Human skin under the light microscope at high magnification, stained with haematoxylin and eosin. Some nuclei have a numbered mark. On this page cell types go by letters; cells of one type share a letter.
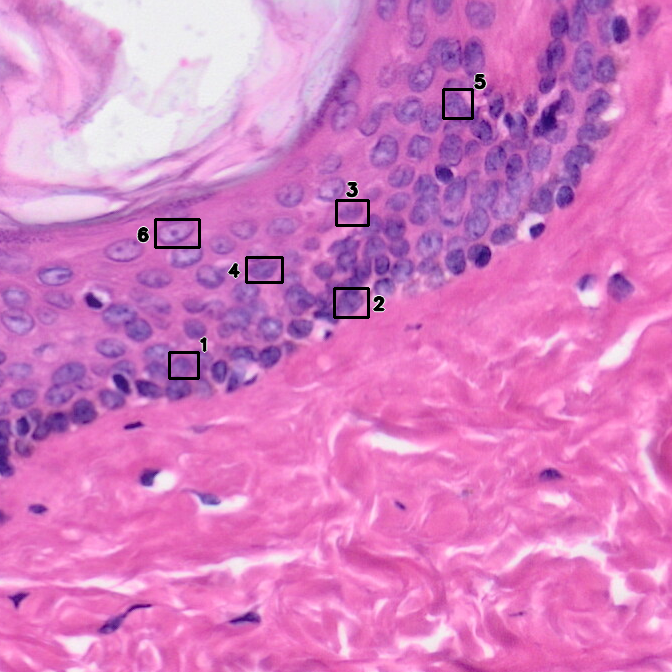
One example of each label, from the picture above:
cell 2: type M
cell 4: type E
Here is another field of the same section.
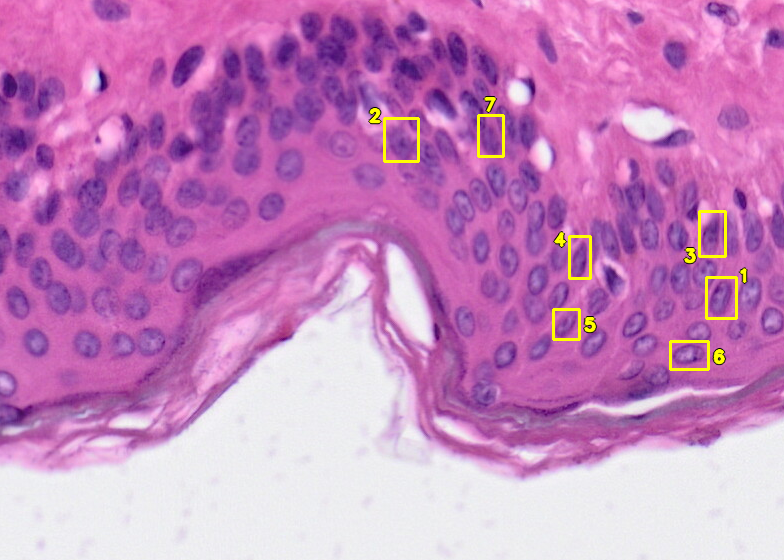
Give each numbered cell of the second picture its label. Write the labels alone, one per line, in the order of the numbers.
type E
type M
type M
type M
type E
type E
type M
